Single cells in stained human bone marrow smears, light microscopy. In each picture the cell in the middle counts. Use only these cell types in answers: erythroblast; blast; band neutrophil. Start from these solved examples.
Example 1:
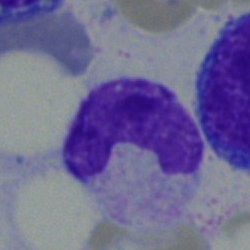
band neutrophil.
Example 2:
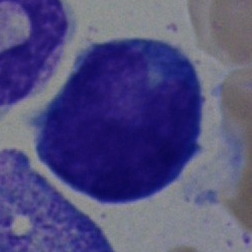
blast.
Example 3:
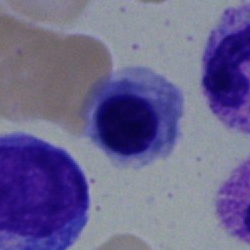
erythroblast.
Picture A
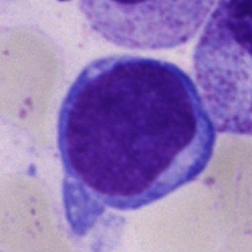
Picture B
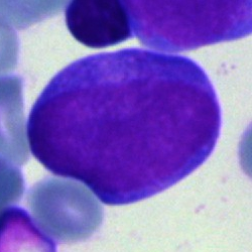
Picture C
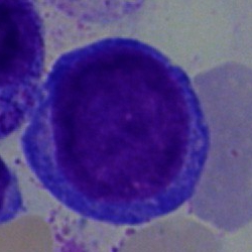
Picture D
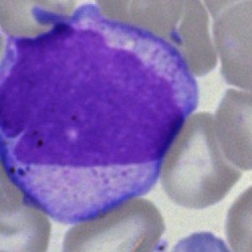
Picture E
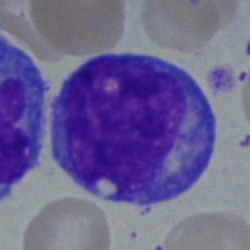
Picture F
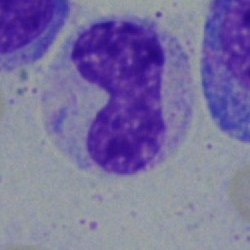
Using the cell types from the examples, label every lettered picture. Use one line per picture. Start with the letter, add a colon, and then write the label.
A: blast.
B: blast.
C: blast.
D: blast.
E: blast.
F: band neutrophil.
